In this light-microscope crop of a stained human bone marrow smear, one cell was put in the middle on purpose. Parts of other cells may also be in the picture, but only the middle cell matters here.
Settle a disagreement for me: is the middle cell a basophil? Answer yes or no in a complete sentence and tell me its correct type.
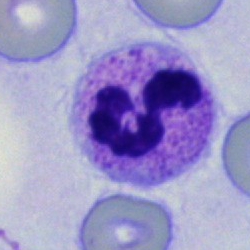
No, it is not a basophil that sits at the centre but a segmented neutrophil.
